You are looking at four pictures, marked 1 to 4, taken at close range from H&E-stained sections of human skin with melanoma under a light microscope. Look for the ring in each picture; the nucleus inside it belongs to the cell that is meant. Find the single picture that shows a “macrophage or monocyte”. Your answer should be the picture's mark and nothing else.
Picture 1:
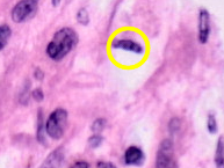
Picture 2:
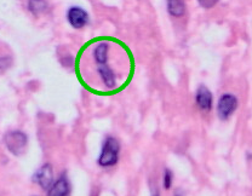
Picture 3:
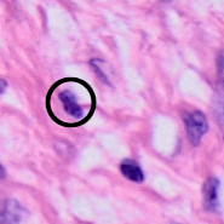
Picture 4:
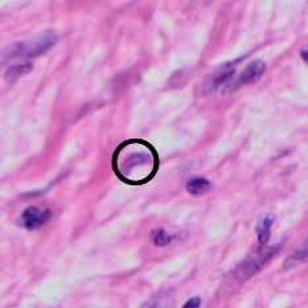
2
